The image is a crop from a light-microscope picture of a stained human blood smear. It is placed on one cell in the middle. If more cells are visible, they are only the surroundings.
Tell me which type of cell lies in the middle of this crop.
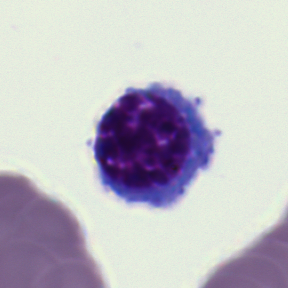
plasma cell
